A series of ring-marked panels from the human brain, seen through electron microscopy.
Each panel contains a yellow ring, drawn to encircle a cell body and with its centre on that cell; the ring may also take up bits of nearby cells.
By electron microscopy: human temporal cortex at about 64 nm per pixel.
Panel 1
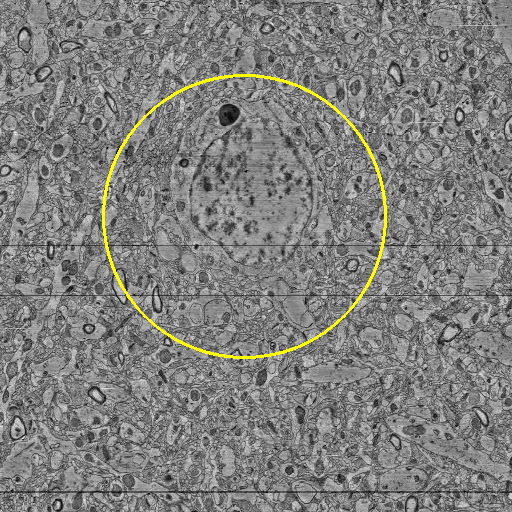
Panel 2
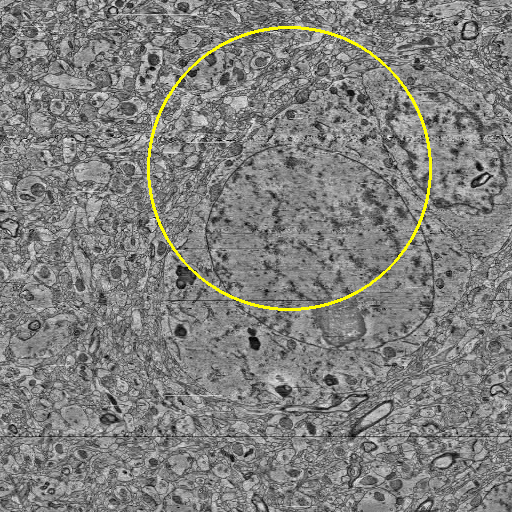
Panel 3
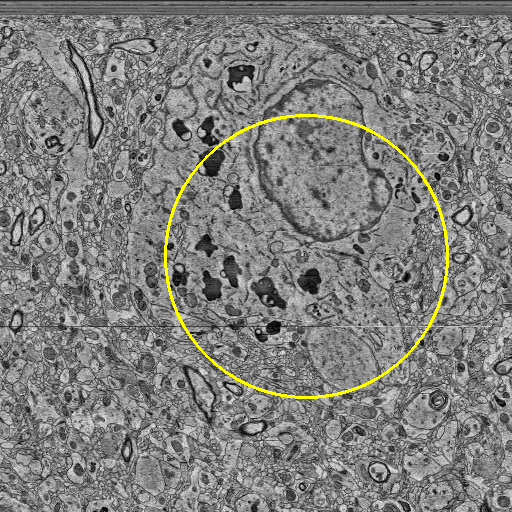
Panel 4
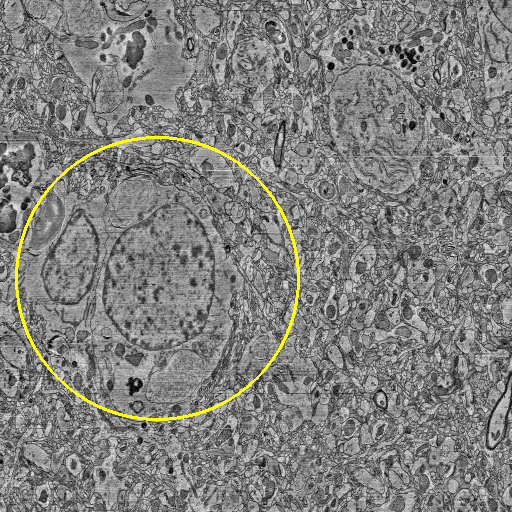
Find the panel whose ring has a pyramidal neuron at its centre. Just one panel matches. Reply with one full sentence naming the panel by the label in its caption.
The sought cell lies at the centre of the ring shown in Panel 2.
